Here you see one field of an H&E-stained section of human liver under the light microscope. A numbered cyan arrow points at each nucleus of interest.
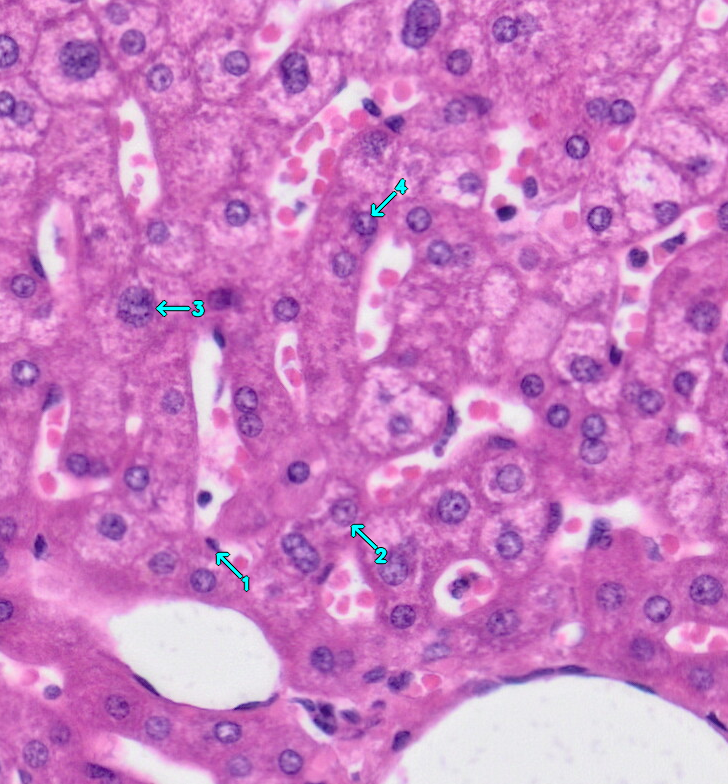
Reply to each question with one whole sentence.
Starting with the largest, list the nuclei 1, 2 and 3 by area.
From largest to smallest, the order is 3, 2, 1.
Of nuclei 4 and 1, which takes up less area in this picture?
Nucleus 1 is the smaller one; nucleus 4 covers about 3 times its area.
